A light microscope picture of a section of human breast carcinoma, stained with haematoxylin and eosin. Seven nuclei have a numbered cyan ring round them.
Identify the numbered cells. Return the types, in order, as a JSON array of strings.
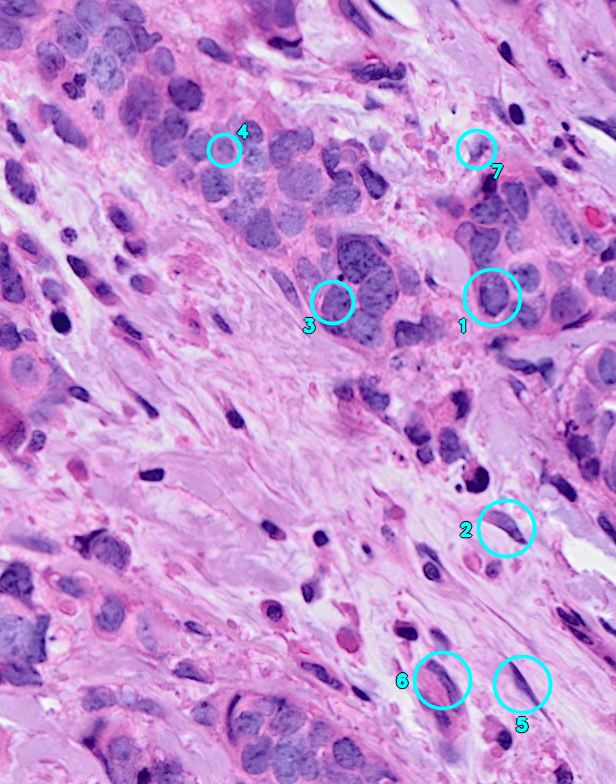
["carcinoma cell", "fibroblast", "carcinoma cell", "carcinoma cell", "fibroblast", "endothelial cell", "fibroblast"]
